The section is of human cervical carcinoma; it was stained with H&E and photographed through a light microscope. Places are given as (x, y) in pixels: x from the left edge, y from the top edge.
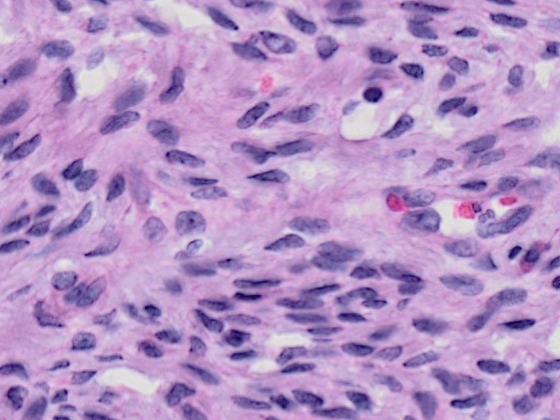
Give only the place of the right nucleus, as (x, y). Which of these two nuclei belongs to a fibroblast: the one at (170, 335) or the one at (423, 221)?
(170, 335)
